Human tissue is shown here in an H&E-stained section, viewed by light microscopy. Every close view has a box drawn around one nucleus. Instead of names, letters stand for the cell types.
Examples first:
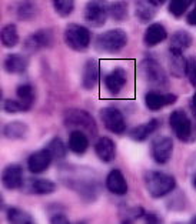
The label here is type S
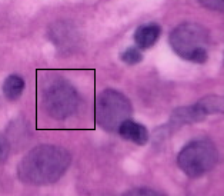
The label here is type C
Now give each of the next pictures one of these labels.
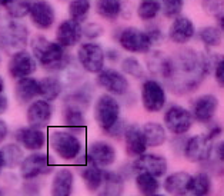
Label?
type S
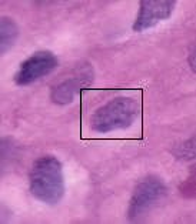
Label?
type C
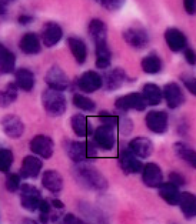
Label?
type S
